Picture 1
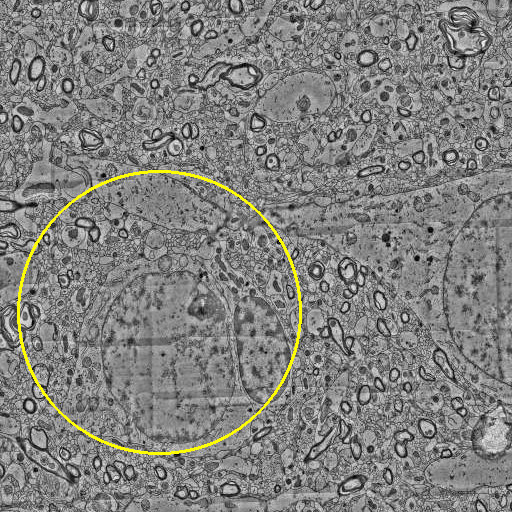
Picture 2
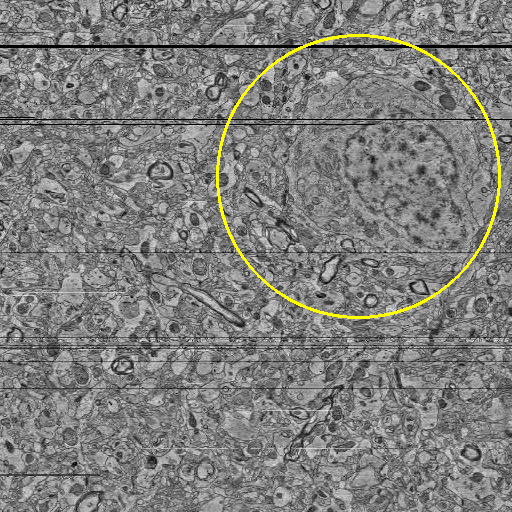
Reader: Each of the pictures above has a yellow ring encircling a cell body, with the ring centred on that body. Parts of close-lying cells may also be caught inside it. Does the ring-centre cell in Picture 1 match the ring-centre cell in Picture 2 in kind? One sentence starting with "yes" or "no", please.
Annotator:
Yes, Picture 1 and Picture 2 show ring-centre cells of a single kind.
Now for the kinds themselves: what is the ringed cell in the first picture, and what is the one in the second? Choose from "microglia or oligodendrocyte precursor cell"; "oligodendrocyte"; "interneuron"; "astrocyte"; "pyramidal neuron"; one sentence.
Both pictures show an interneuron at the centre of the ring.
